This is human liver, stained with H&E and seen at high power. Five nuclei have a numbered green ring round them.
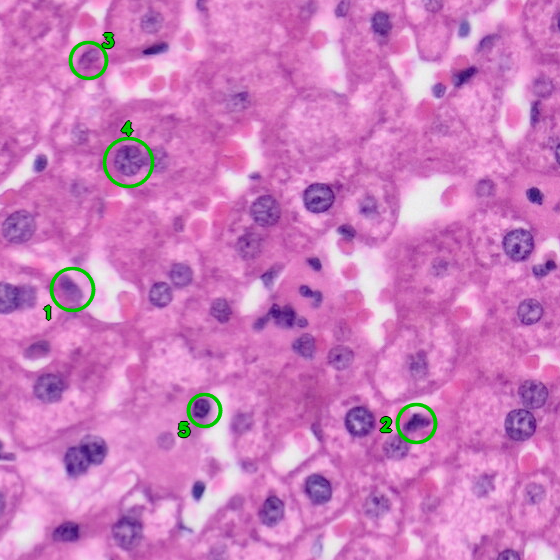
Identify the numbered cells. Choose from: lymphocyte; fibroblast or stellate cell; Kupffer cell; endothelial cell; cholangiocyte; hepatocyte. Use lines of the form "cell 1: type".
cell 1: Kupffer cell
cell 2: endothelial cell
cell 3: Kupffer cell
cell 4: hepatocyte
cell 5: Kupffer cell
